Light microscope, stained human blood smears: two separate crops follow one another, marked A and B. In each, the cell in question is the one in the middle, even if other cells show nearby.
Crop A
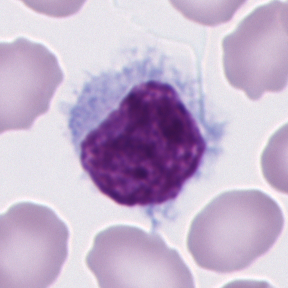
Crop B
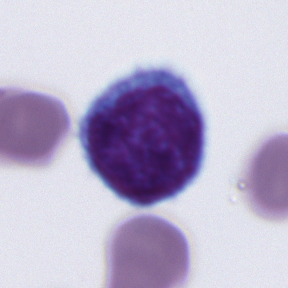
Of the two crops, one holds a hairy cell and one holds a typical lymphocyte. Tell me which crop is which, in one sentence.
There is a hairy cell in crop A and a typical lymphocyte in crop B.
